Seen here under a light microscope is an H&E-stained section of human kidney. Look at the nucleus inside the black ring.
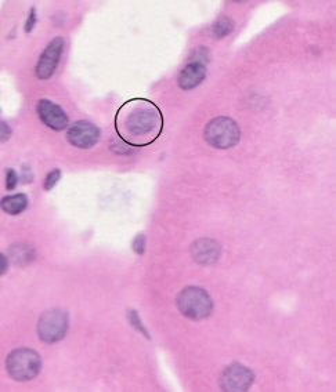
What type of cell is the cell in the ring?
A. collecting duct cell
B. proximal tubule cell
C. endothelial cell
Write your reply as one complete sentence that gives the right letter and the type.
The correct option is A, and the cell in the ring is a collecting duct cell.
